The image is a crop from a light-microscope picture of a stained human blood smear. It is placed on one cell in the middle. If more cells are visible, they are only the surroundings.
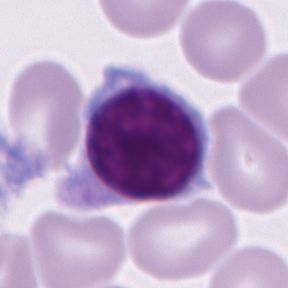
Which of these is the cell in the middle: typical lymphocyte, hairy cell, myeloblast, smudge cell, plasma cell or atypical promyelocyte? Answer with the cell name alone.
typical lymphocyte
